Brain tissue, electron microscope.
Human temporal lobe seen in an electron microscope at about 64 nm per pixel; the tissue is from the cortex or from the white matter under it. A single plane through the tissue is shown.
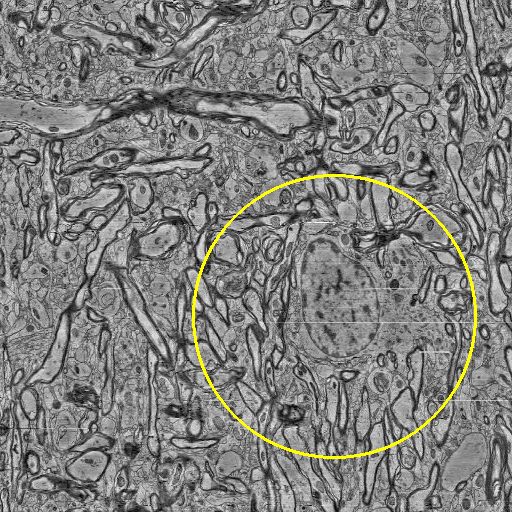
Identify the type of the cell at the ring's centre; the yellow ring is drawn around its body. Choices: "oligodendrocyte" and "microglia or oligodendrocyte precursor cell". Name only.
microglia or oligodendrocyte precursor cell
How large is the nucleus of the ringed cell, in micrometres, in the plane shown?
About 8 by 5 micrometers in this plane, so the nucleus is clearly longer than it is wide.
